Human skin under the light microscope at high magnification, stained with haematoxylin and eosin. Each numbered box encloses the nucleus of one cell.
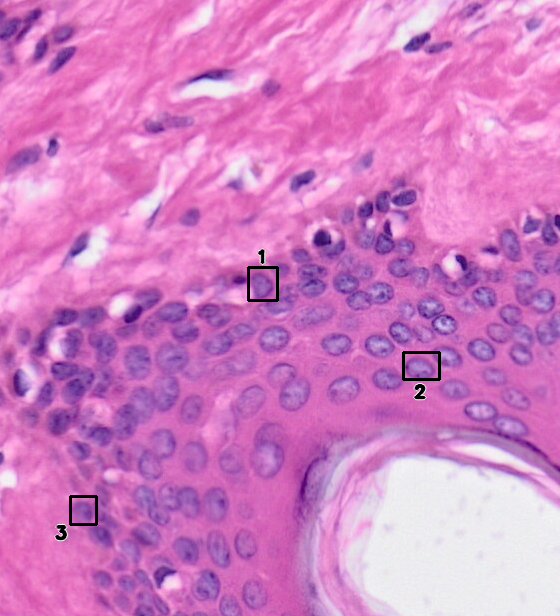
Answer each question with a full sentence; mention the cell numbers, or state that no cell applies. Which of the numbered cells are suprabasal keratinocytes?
It is only cell 2 that is a suprabasal keratinocyte among the numbered cells.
